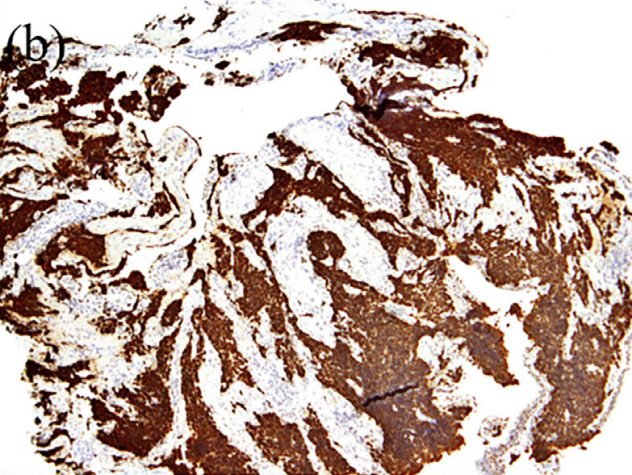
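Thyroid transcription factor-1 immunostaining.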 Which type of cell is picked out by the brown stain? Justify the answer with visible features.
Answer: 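Tumor cells. Brown stain fills large dense sheets and cords of cells. Intervening loose stroma stays pale blue and unstained.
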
